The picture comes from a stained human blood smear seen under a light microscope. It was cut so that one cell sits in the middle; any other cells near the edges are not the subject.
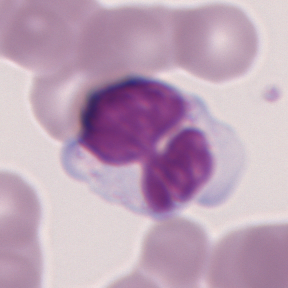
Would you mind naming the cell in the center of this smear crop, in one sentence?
The identification for the central cell is a large granular lymphocyte.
